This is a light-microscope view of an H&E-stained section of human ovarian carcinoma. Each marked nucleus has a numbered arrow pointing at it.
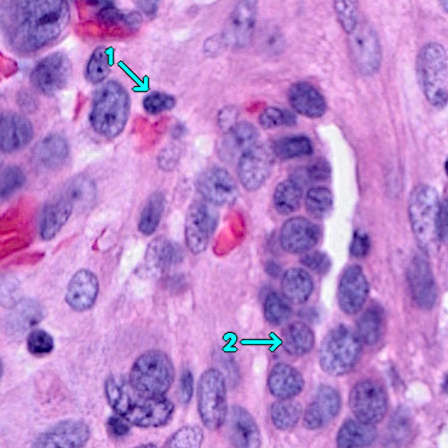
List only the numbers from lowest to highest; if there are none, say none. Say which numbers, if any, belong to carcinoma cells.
2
